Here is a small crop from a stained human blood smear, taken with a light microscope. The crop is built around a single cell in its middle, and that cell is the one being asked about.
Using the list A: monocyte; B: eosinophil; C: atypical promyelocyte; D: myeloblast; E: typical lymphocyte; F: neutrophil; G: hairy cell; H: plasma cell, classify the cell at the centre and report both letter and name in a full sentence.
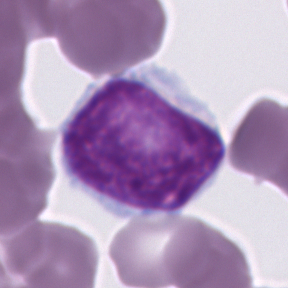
Given that the cell in the middle is a hairy cell, option G is correct.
